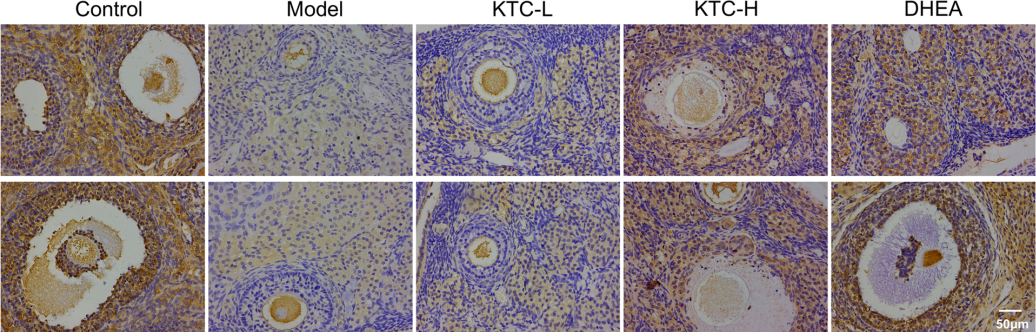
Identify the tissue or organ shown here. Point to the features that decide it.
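Ovarian tissue. Round follicles with a central large oocyte surrounded by layers of small cells. Some follicles have a fluid-filled cavity. Dense stroma of spindle-shaped cells lies between the follicles.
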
